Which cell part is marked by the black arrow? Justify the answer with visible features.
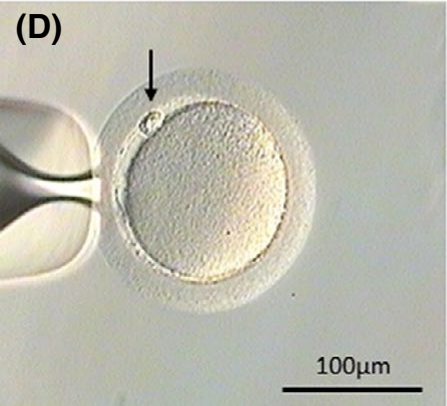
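The arrow points to one small rounded body sitting between the large round cell and its clear outer coat. Only one such small body is seen. On this evidence: polar body.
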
